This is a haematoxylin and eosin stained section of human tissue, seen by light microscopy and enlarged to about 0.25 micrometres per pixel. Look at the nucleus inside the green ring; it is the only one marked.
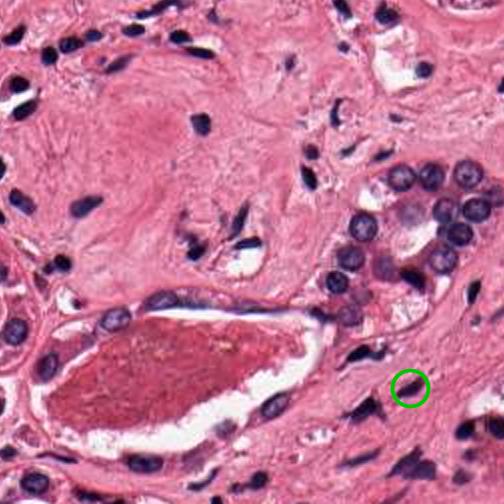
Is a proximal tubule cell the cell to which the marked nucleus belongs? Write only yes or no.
no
